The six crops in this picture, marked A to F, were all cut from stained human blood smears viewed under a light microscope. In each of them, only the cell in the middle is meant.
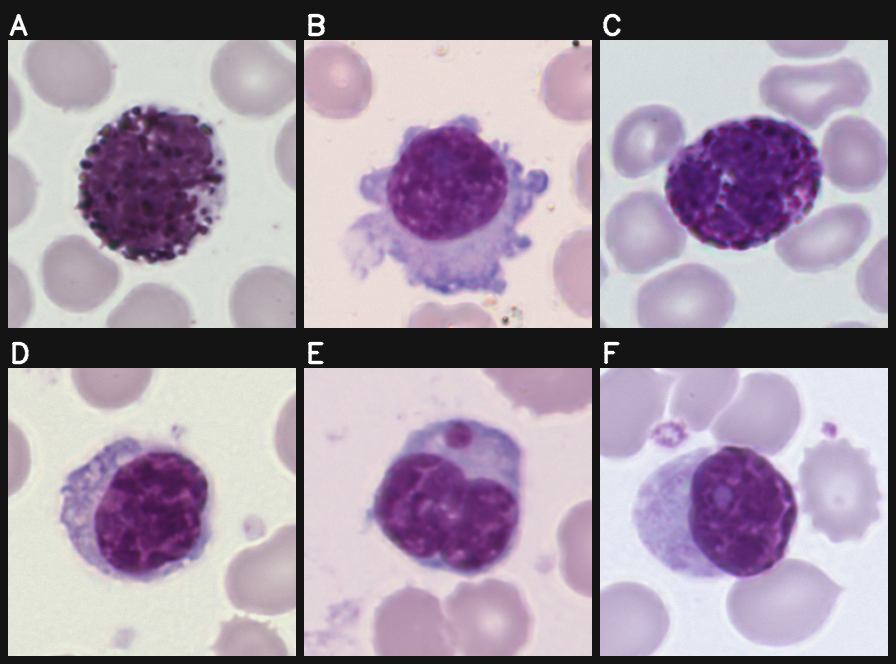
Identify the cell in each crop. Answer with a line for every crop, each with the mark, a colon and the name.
A: basophil
B: plasma cell
C: basophil
D: plasma cell
E: plasma cell
F: plasma cell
